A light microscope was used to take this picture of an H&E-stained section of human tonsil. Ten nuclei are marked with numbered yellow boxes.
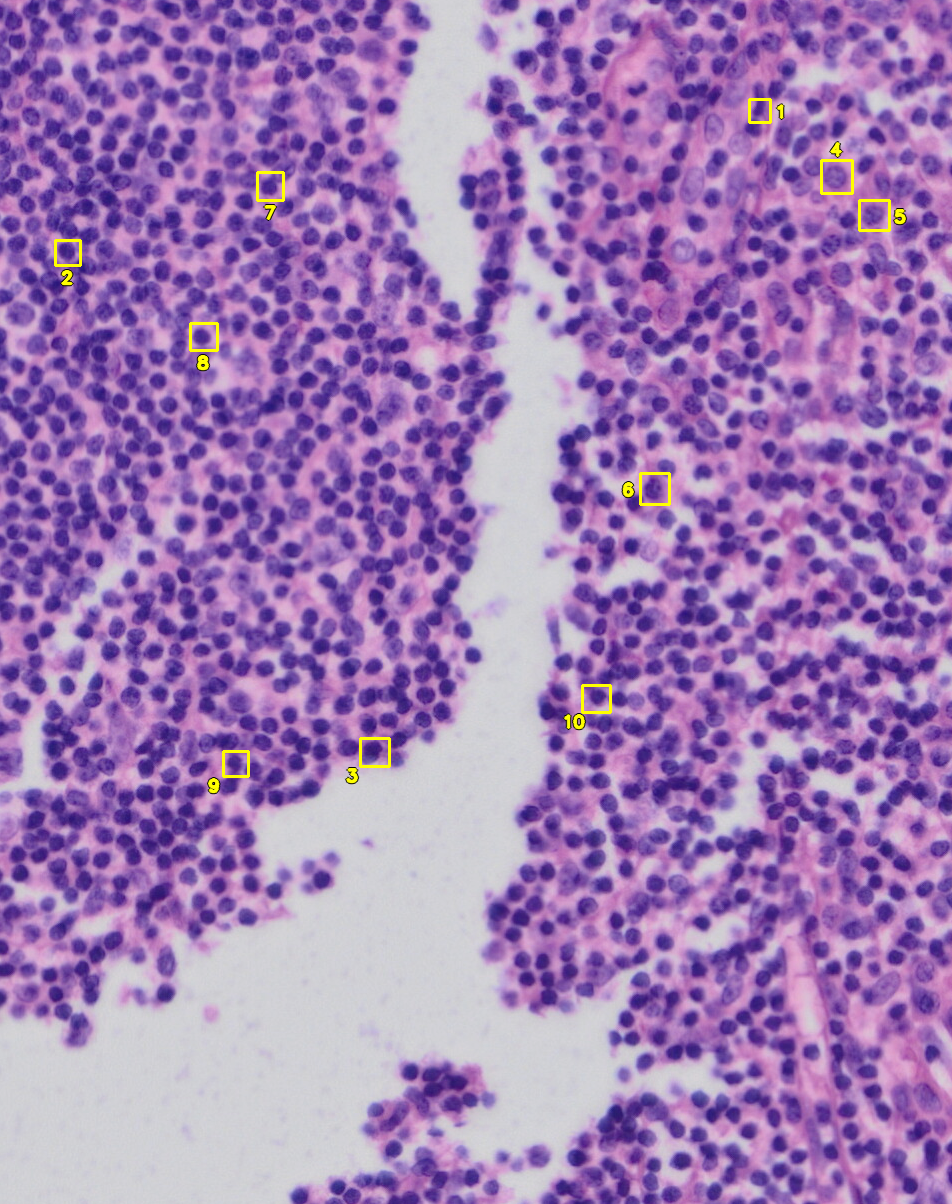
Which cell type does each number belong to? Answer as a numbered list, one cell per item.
1. endothelial cell
2. small lymphocyte
3. small lymphocyte
4. plasma cell
5. plasma cell
6. plasma cell
7. small lymphocyte
8. small lymphocyte
9. small lymphocyte
10. small lymphocyte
